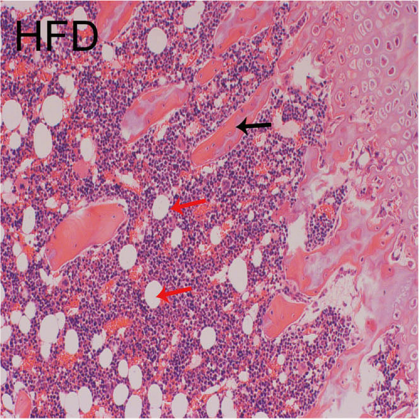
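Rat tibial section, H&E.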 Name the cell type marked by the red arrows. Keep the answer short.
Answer: adipocytes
